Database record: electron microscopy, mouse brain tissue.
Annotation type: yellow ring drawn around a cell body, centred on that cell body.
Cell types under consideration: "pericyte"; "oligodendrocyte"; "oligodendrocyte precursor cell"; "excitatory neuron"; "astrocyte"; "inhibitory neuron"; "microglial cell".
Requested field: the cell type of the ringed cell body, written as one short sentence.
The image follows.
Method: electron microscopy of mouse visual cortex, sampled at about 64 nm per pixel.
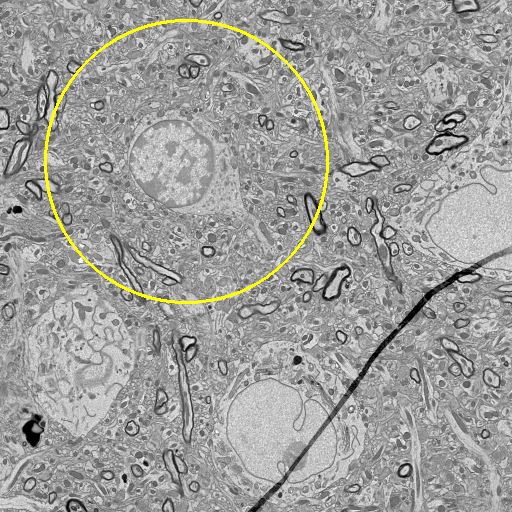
The ringed cell body represents an oligodendrocyte.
